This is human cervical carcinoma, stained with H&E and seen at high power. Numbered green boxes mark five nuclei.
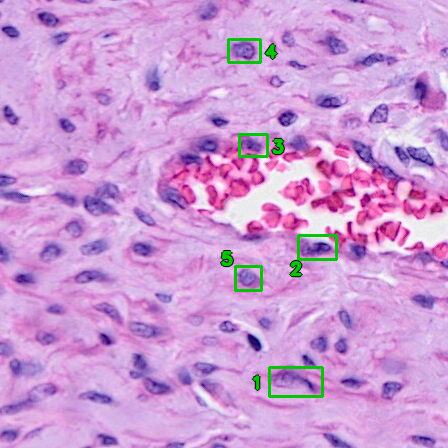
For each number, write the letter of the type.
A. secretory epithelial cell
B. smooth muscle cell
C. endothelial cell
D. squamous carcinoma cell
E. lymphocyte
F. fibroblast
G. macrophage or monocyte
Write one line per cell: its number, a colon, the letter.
1: B
2: C
3: C
4: B
5: B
